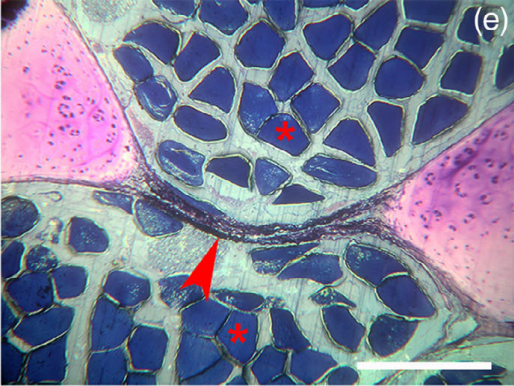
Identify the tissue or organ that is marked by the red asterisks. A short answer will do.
Muscle fibers.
